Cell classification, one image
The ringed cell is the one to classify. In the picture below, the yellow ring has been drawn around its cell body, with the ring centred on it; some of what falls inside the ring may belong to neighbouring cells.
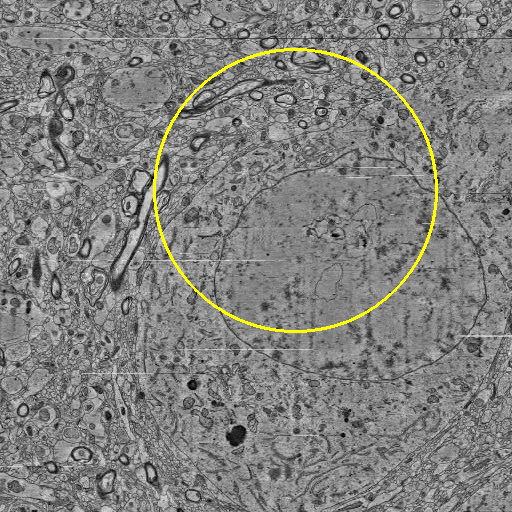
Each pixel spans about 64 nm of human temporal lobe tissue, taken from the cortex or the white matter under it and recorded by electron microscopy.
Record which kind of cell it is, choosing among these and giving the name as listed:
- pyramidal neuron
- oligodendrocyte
pyramidal neuron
